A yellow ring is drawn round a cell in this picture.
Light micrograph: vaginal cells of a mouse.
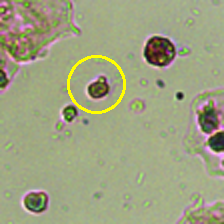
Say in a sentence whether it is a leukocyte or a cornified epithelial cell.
The cell in the ring is a leukocyte.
